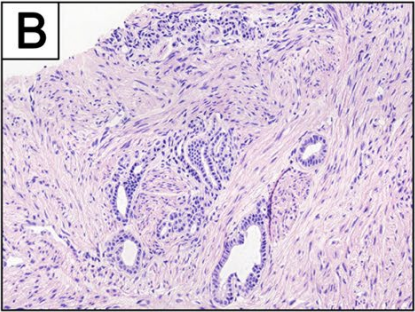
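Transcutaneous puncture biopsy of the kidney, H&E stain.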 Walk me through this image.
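Several small tubular glands, some with branching or folded outlines, are lined by columnar epithelial cells with dark oval nuclei around clear lumens. They lie within long, sweeping fascicles of spindle cells with elongated nuclei and pale pink cytoplasm, resembling smooth muscle. A thin zone of more densely packed small cells surrounds some glands. No necrosis is seen.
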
